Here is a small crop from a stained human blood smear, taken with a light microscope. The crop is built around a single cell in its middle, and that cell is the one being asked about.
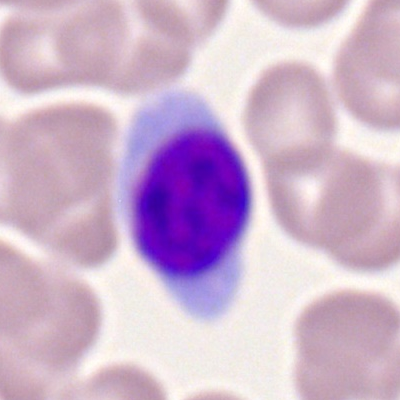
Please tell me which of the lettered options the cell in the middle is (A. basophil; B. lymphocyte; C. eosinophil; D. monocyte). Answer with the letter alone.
B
